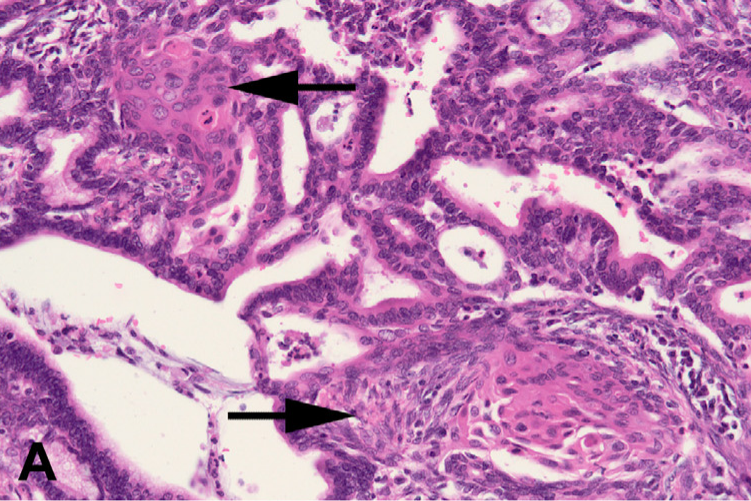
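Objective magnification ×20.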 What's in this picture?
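This is a gland-forming carcinoma with crowded, branching glands lined by columnar cells with dark stratified nuclei and little intervening stroma. Between the glands lie solid nests of squamous cells with abundant pink cytoplasm, one of them with more spindled cells at its edge. The nests are without lumina, standing apart from the open glands around them.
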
